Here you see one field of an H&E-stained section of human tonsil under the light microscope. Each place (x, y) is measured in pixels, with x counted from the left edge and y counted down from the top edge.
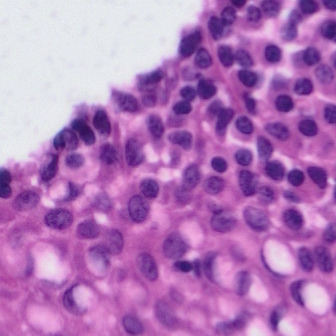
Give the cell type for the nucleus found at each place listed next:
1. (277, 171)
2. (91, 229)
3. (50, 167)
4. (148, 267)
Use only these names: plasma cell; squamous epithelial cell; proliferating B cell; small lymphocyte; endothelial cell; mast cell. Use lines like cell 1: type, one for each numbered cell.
cell 1: plasma cell
cell 2: squamous epithelial cell
cell 3: squamous epithelial cell
cell 4: squamous epithelial cell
